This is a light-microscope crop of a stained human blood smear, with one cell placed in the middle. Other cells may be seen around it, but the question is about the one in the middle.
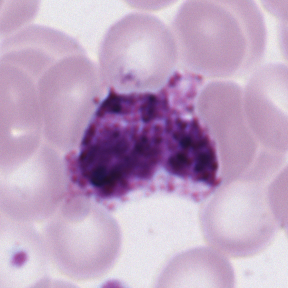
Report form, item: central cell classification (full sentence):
The cell of interest, in the center, is a basophil.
